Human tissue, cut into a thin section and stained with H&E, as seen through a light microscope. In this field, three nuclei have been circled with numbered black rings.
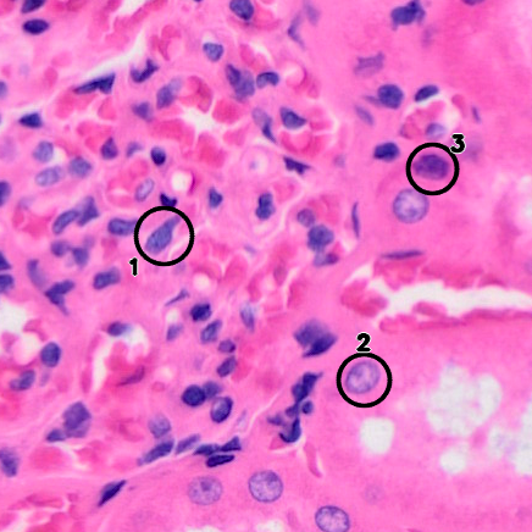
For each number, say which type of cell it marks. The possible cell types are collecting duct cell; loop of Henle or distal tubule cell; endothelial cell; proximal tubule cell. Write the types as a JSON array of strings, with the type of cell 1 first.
["endothelial cell", "proximal tubule cell", "proximal tubule cell"]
